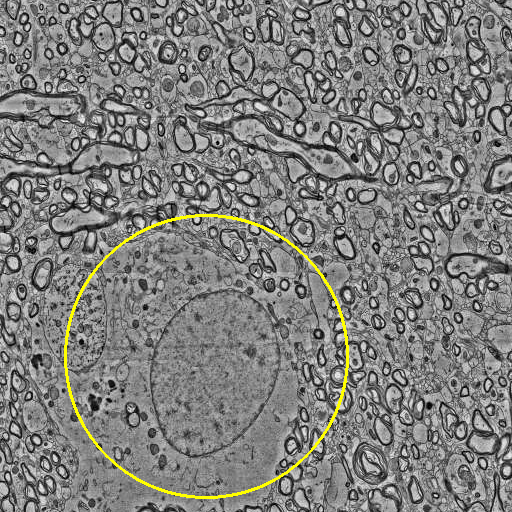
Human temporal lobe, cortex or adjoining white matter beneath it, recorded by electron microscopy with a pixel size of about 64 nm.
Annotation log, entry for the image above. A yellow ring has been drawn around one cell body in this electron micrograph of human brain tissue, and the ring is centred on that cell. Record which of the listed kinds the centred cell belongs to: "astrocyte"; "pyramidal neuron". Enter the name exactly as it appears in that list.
astrocyte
